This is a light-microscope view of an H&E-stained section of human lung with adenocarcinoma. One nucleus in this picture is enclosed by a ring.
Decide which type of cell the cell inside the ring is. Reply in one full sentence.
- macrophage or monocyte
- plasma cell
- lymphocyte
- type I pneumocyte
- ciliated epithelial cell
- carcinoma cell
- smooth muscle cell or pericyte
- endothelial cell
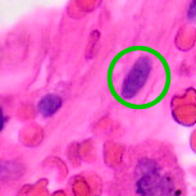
The cell inside the ring is a type I pneumocyte.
